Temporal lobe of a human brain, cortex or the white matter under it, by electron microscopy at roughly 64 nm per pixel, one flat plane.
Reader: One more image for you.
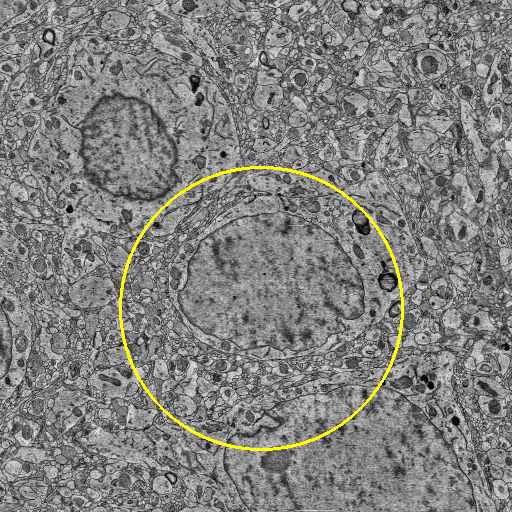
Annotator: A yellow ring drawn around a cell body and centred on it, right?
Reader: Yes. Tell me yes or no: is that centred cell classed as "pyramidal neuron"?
yes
